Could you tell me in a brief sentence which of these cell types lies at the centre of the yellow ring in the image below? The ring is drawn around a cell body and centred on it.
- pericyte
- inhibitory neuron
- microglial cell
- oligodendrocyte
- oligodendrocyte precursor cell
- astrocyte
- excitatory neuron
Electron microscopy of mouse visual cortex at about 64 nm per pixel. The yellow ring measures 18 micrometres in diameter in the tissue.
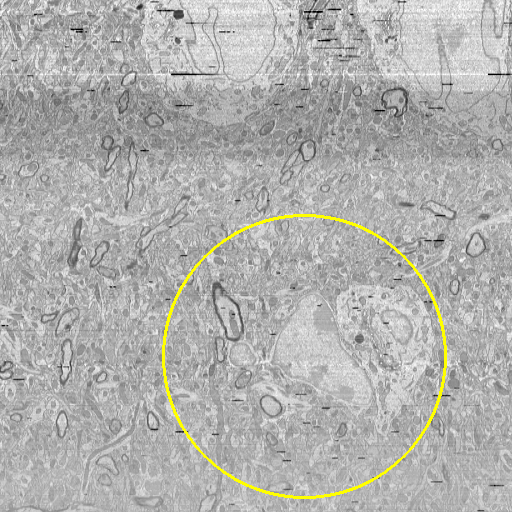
The cell centred in the ring is an oligodendrocyte precursor cell.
